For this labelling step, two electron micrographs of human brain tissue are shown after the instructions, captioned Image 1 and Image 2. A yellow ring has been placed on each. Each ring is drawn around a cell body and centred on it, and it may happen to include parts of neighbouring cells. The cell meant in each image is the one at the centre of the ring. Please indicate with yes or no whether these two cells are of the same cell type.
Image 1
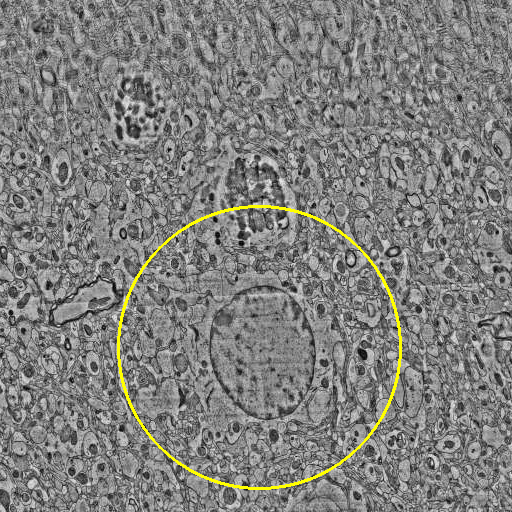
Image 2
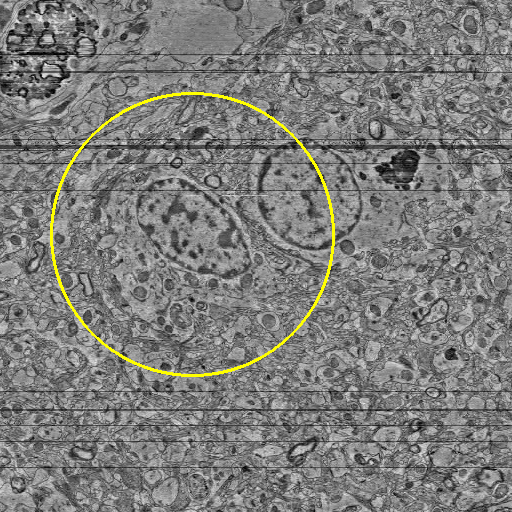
yes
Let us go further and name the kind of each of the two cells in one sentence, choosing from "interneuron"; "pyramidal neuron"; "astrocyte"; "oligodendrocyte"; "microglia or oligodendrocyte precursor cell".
Each of the two rings is centred on an astrocyte.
